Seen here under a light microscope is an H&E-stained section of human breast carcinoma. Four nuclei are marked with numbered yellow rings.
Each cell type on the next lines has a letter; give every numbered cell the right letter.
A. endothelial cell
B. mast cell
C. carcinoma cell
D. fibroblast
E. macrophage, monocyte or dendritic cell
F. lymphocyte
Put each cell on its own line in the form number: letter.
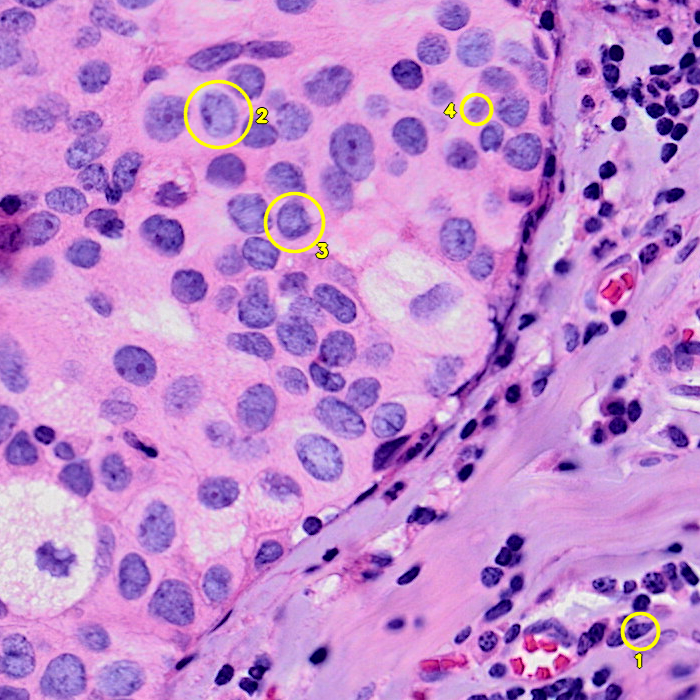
1: F
2: C
3: C
4: C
